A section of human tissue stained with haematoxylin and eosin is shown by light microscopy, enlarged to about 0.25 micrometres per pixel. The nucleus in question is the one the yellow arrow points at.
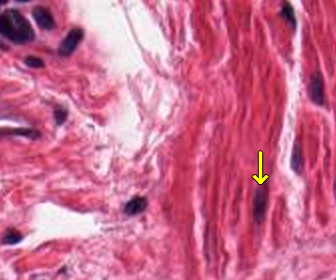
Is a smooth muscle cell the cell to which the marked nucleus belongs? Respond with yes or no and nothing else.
yes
